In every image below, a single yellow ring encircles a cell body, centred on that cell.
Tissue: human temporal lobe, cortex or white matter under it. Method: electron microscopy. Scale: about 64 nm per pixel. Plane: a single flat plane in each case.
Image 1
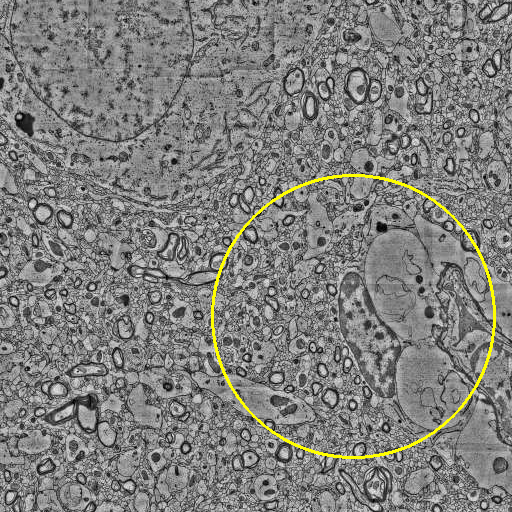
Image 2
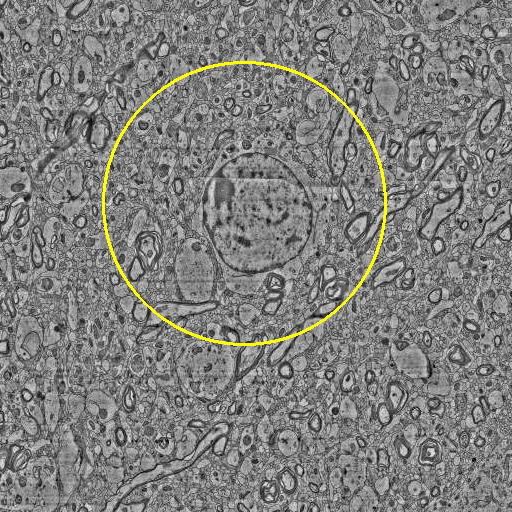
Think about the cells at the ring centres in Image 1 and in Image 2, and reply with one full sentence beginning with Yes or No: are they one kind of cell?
Yes, the cells centred in the rings of Image 1 and Image 2 are one kind of cell.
